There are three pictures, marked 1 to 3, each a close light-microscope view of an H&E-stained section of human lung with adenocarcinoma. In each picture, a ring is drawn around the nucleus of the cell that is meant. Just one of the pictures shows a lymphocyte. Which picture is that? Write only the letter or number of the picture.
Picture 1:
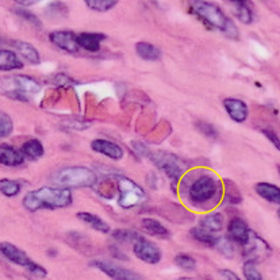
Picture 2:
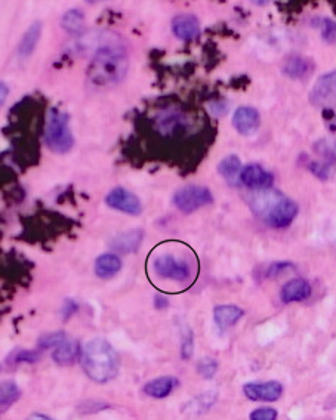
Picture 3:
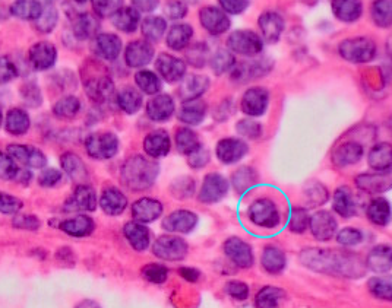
3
